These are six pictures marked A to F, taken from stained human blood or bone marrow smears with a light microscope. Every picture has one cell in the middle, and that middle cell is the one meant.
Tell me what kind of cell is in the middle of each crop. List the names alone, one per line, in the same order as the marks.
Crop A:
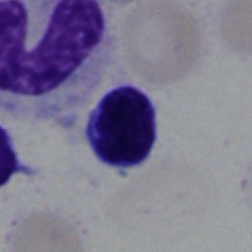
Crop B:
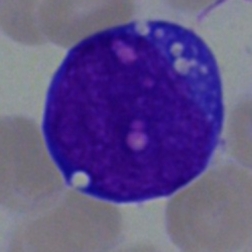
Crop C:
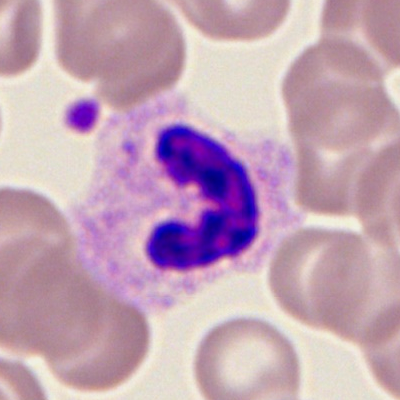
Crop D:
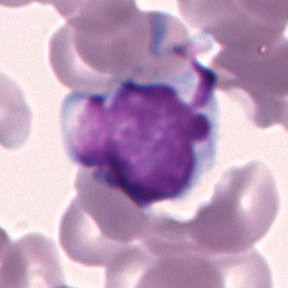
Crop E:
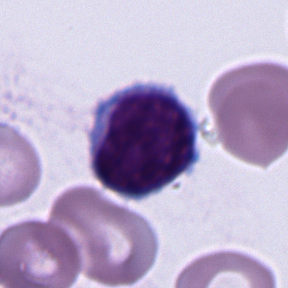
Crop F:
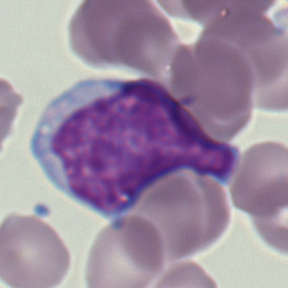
lymphocyte
blast
band neutrophil
blast
lymphocyte
blast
